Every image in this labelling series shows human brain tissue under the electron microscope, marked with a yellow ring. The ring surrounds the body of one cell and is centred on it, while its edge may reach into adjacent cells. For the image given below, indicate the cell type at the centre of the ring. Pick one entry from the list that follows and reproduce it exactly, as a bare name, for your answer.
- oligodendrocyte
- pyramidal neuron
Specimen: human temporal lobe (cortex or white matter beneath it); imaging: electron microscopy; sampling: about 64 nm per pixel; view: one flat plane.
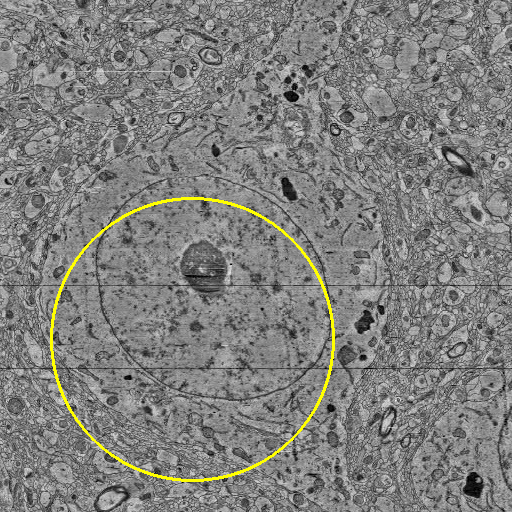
pyramidal neuron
